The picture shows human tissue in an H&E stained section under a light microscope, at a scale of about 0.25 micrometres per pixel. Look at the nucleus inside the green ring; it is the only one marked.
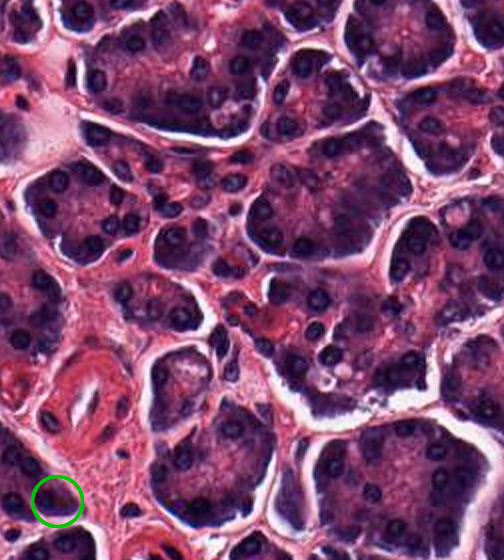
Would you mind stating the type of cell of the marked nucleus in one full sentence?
The marked nucleus is housed in a pancreatic acinar cell.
